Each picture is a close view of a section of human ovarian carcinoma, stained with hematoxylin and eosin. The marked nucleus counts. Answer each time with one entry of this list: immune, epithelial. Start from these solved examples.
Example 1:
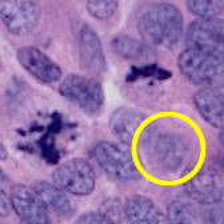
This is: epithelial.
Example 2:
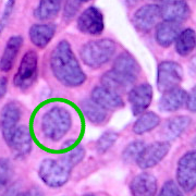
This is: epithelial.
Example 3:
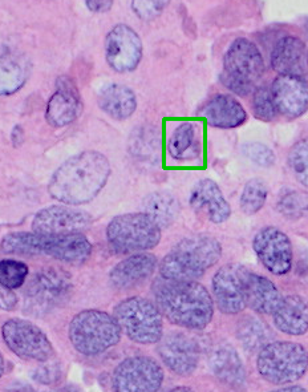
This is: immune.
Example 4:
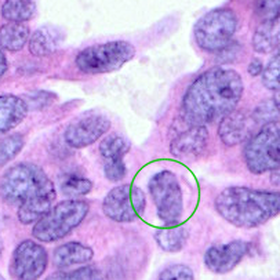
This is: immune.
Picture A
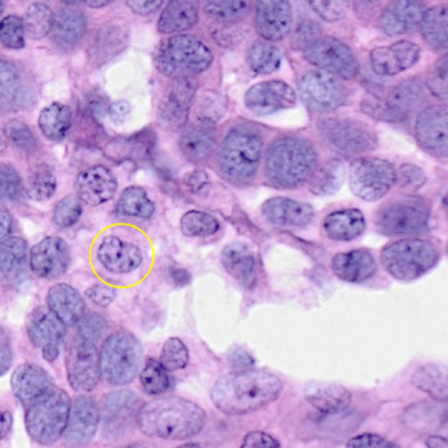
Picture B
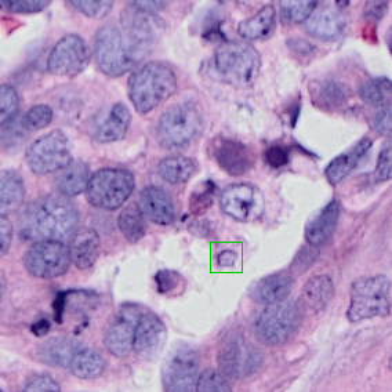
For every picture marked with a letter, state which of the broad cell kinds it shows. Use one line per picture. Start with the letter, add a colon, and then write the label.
A: immune.
B: immune.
